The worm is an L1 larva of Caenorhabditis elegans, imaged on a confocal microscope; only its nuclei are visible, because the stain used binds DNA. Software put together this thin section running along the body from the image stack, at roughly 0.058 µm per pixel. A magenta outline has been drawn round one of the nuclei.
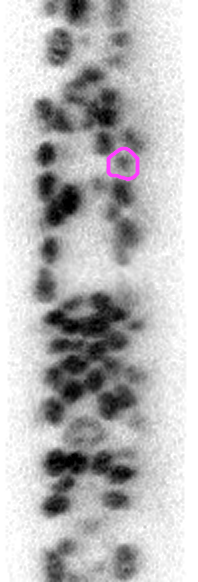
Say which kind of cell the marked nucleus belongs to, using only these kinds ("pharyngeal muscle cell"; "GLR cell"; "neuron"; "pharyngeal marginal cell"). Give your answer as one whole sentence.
The marked nucleus is that of a neuron.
